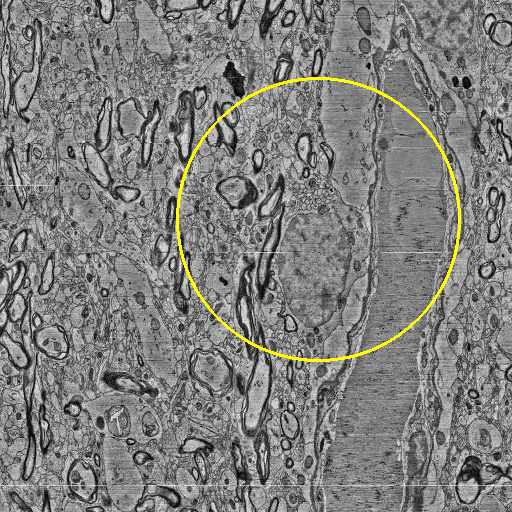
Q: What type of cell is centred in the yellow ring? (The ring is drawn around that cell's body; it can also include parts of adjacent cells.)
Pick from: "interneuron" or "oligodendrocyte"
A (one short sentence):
The yellow ring is centred on an oligodendrocyte.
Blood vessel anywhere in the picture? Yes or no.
Yes, one shows.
